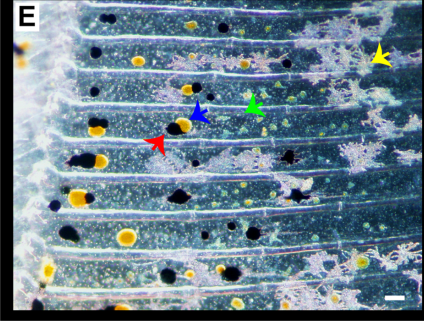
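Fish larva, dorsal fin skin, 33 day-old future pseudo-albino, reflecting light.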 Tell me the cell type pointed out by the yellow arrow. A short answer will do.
Leucophores.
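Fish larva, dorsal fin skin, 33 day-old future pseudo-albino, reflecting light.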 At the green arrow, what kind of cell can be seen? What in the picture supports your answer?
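Small round pale greenish-yellow shiny cells. Many such small cells scattered between the rays.
Answer: iridophores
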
